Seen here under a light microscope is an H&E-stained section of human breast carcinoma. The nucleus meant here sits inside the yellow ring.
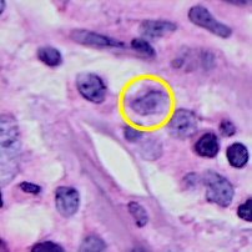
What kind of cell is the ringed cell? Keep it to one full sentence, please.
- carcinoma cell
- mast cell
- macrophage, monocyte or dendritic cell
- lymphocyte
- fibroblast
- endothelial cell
The correct response here is that the ringed cell is a macrophage, monocyte or dendritic cell.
